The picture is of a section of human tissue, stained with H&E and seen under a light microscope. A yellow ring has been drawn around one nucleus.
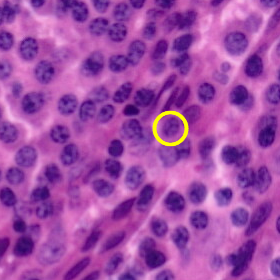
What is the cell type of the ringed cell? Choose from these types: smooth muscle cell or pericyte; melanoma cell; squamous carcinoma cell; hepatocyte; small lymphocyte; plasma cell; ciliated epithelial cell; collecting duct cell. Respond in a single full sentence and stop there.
In this section, the ringed cell is a plasma cell.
